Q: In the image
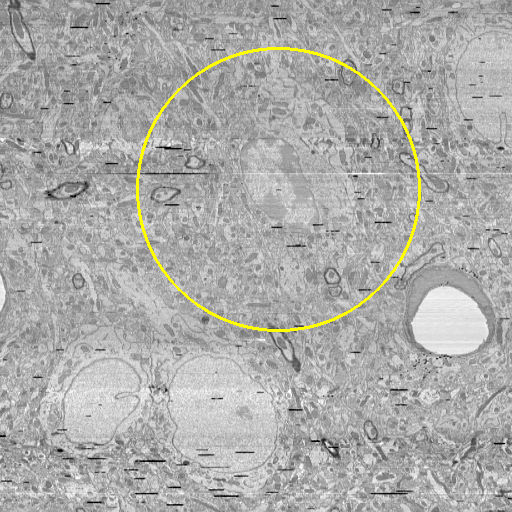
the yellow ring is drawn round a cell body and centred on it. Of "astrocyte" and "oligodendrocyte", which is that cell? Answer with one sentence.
The cell centred in the ring is an oligodendrocyte.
